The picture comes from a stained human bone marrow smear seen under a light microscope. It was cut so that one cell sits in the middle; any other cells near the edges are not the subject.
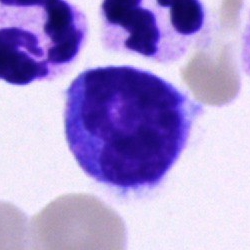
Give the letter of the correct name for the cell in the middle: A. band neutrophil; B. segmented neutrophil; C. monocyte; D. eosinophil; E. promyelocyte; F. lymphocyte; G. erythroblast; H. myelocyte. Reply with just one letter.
C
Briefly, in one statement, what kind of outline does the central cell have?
In outline, the cell is irregular, ragged in stretches or drawn into projections.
